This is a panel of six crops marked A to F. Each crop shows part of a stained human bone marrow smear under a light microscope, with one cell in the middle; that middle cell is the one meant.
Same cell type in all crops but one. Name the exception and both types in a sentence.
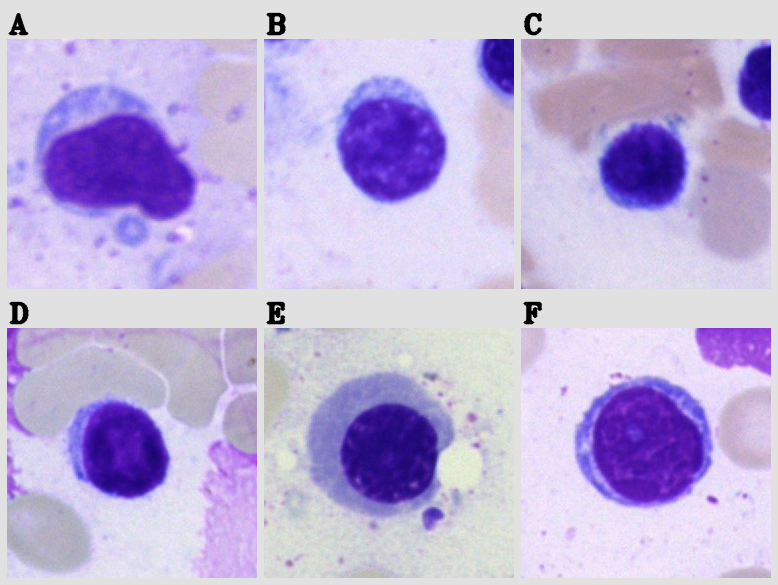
Crop E is the sole crop with an erythroblast; the others all have lymphocytes.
